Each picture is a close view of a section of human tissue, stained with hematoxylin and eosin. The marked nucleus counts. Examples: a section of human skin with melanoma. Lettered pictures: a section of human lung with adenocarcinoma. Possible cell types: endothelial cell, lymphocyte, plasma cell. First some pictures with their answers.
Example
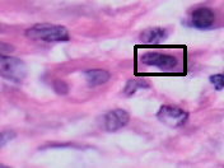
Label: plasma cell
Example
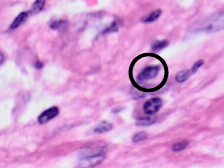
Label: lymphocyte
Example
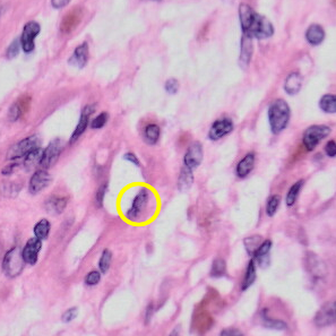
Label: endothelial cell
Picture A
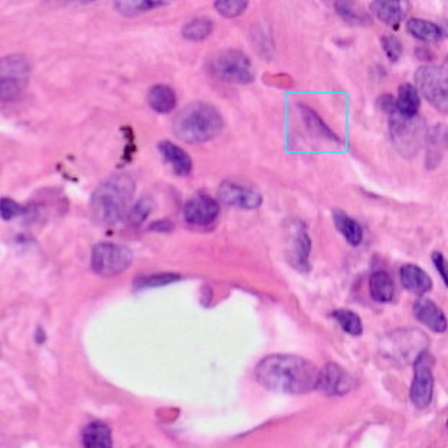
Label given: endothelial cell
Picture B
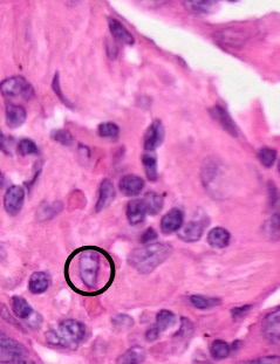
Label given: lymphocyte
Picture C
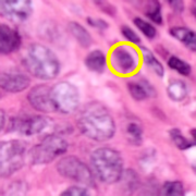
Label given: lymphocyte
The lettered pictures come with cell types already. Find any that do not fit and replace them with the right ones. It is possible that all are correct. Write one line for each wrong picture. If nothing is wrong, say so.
Wrong: B (lymphocyte); correct: endothelial cell
Wrong: C (lymphocyte); correct: plasma cell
